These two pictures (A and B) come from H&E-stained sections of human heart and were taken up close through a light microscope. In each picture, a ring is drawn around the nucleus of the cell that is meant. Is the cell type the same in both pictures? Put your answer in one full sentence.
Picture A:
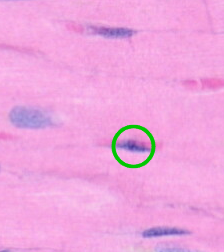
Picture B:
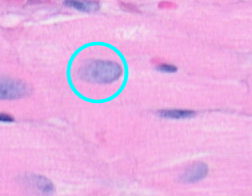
No, they differ: the cell is an endothelial cell in picture A and a cardiomyocyte in picture B.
